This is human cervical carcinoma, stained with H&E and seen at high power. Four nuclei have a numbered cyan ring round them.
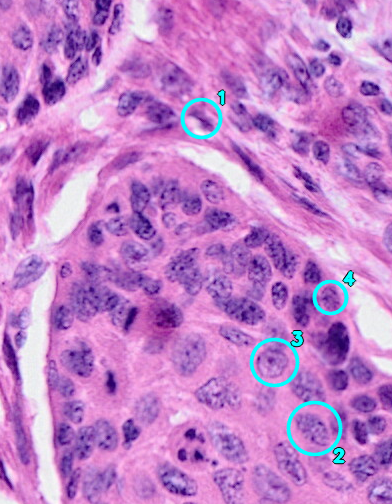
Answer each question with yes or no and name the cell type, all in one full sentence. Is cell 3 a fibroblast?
No, the right label for cell 3 is a squamous carcinoma cell rather than a fibroblast.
